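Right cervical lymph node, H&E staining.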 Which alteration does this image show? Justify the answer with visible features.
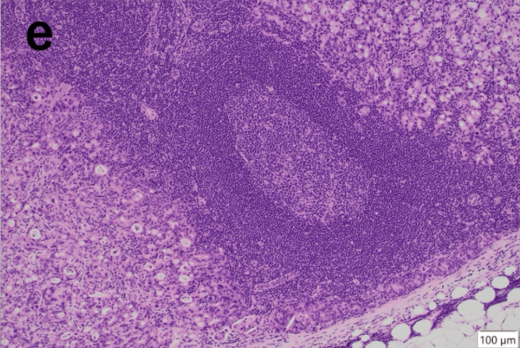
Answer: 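Tumor metastasis. A band of densely packed small dark lymphocytes runs through the field. On both sides lie large pale atypical cells forming small glands and solid nests.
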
